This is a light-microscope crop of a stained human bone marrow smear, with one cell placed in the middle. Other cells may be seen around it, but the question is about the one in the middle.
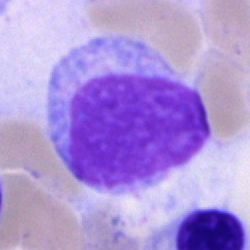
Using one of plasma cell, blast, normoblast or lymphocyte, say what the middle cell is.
blast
